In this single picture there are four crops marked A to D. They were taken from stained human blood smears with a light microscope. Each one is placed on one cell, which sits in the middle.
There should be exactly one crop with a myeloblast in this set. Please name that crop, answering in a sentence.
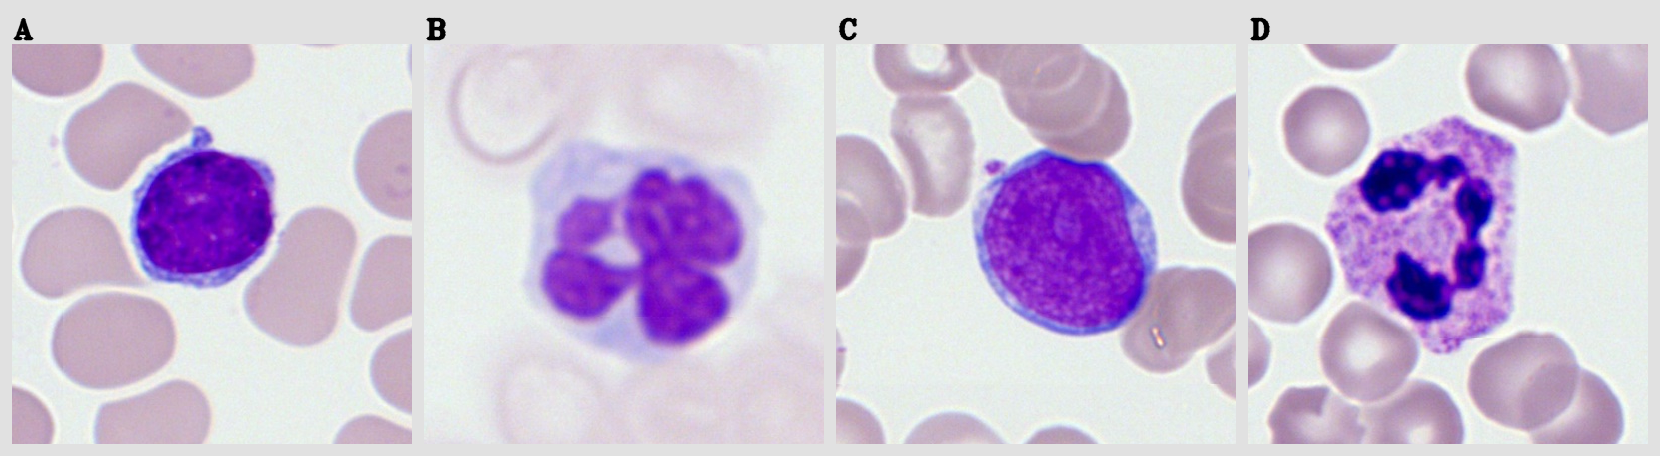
In this series, a myeloblast is shown by crop C.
